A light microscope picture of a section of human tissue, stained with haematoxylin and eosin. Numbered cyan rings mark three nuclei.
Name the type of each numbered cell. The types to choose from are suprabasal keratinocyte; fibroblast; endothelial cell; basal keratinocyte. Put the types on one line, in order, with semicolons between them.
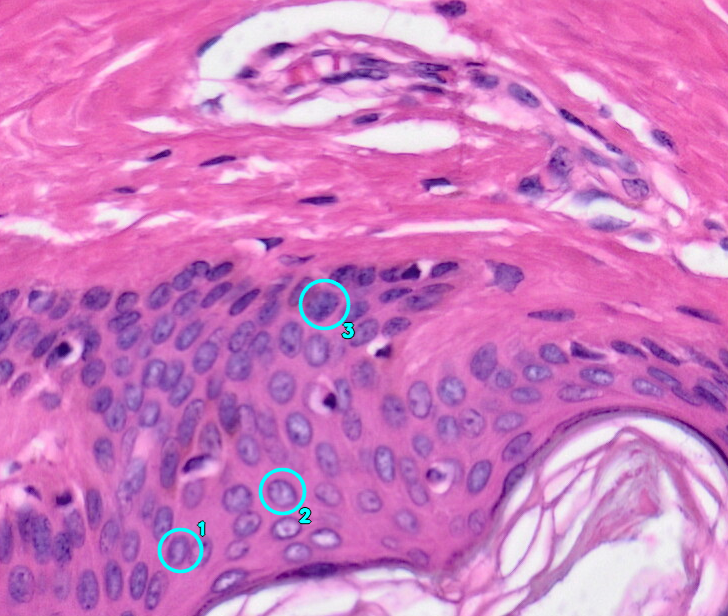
suprabasal keratinocyte; suprabasal keratinocyte; basal keratinocyte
